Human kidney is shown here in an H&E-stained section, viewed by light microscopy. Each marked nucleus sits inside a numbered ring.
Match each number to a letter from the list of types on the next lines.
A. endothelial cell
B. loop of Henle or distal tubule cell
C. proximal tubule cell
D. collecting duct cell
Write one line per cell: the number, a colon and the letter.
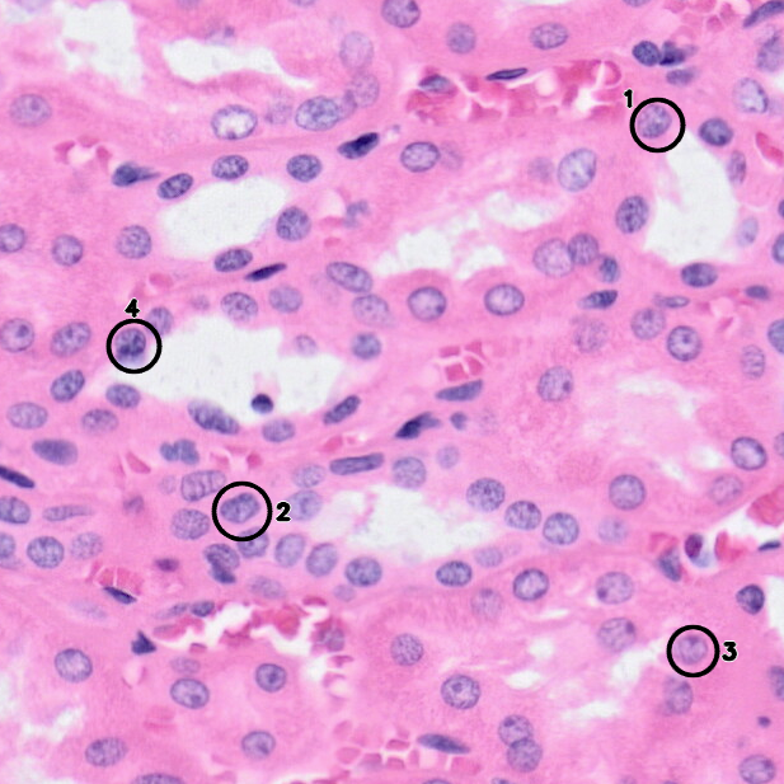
1: B
2: D
3: C
4: B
